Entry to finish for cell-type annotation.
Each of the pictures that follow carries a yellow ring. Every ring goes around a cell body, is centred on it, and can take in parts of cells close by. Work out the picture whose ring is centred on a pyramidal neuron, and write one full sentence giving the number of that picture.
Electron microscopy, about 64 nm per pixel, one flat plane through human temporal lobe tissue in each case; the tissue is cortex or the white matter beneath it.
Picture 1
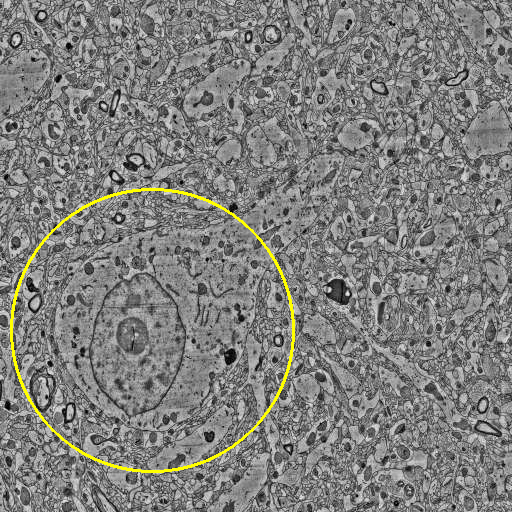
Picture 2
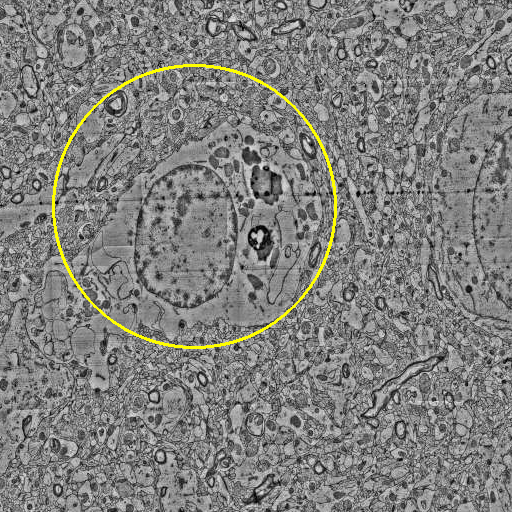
The cell at the heart of the ring in picture 1 matches the request.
